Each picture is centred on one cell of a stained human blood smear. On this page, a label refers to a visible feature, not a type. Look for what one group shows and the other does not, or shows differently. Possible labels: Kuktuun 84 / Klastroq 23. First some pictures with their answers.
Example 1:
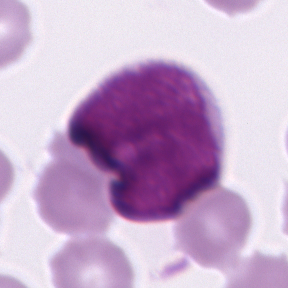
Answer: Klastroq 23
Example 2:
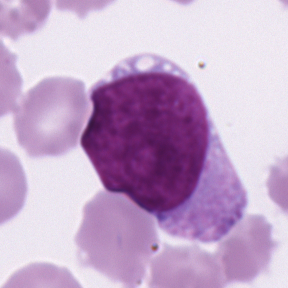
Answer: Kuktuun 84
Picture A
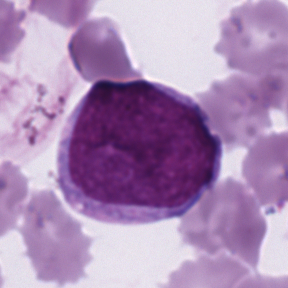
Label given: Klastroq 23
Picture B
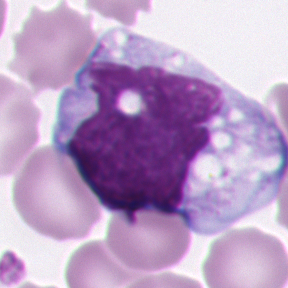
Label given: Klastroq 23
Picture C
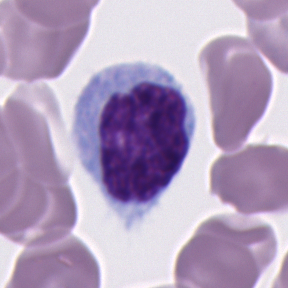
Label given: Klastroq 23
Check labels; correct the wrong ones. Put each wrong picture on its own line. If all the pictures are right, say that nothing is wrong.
Wrong: B (Klastroq 23); correct: Kuktuun 84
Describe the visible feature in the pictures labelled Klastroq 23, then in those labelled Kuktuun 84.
In Klastroq 23: no vacuoles. In Kuktuun 84: vacuoles present.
